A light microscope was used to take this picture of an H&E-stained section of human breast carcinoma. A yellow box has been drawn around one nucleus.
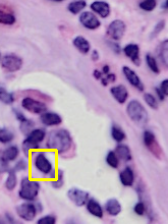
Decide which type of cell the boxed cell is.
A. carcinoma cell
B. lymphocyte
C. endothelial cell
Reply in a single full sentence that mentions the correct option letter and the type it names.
The statement that the boxed cell is a lymphocyte corresponds to option B, the correct one.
